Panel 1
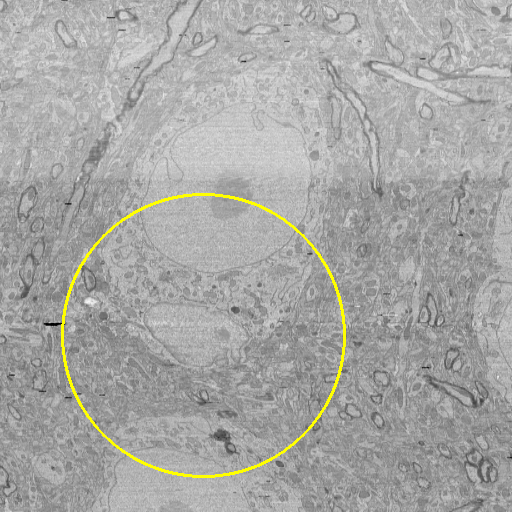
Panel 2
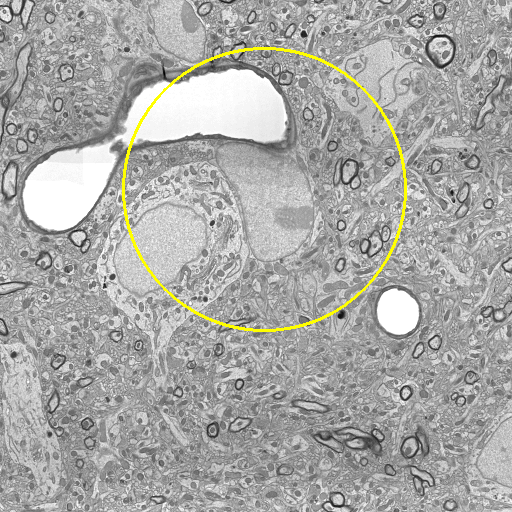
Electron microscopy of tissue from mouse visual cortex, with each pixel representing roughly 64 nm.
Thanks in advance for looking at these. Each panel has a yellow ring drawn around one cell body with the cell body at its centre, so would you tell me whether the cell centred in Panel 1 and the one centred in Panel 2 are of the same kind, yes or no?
yes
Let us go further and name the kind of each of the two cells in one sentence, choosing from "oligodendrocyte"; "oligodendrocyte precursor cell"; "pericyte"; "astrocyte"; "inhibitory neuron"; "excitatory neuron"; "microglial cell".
Both pictures show an astrocyte at the centre of the ring.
